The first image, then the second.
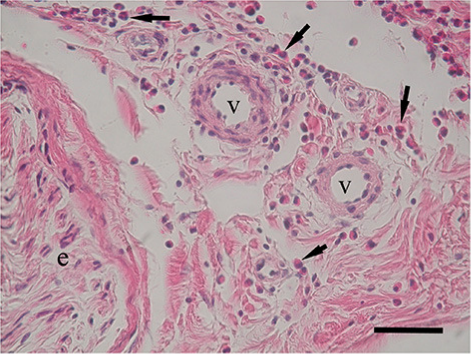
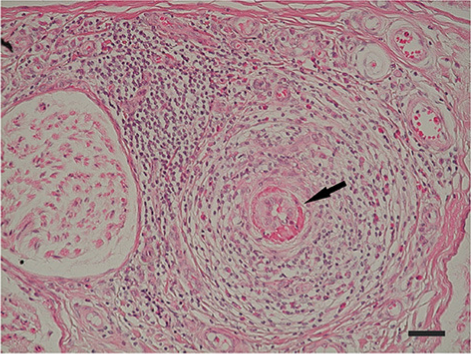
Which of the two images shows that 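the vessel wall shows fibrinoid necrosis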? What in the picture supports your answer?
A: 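Second image: the vessel centre holds smudgy bright pink material within a thickened, cell-crowded wall. First image: the small vessels have neat, intact round walls with clear lumens. So: the second image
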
